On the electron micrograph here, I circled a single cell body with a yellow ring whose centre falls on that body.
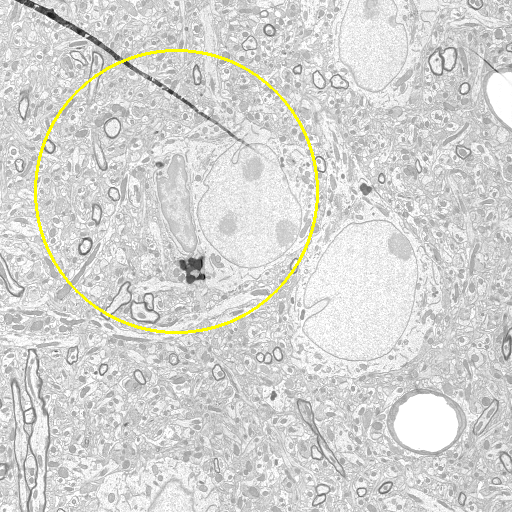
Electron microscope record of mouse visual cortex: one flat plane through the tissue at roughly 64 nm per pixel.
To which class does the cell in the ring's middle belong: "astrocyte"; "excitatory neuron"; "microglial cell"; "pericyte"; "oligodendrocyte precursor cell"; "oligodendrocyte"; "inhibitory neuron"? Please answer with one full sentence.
In this picture, the cell body circled at the ring's centre belongs to a microglial cell.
